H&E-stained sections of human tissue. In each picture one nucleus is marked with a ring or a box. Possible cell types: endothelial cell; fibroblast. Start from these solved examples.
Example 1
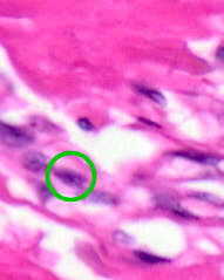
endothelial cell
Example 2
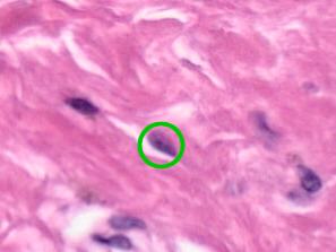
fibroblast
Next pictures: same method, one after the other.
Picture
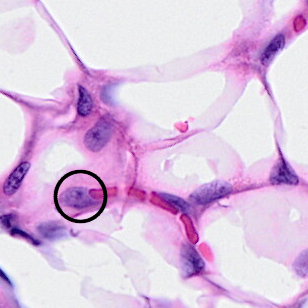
endothelial cell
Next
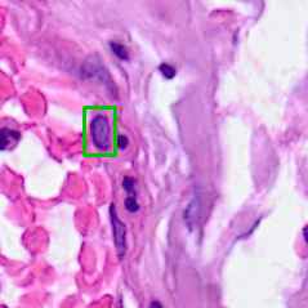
endothelial cell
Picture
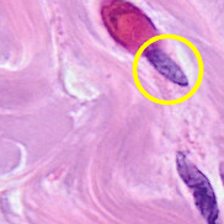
fibroblast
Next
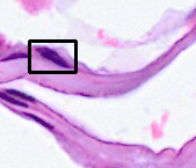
fibroblast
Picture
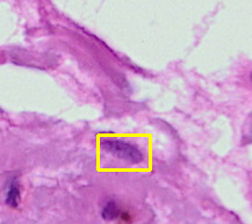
fibroblast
